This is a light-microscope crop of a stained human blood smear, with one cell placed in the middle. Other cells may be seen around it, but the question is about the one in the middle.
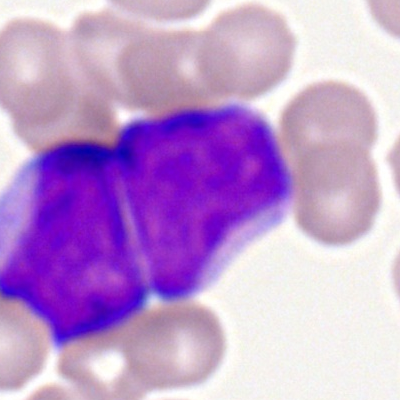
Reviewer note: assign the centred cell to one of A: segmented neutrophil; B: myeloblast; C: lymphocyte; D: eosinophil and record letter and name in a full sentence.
Seen at the centre of the crop is a myeloblast, so option B is correct.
